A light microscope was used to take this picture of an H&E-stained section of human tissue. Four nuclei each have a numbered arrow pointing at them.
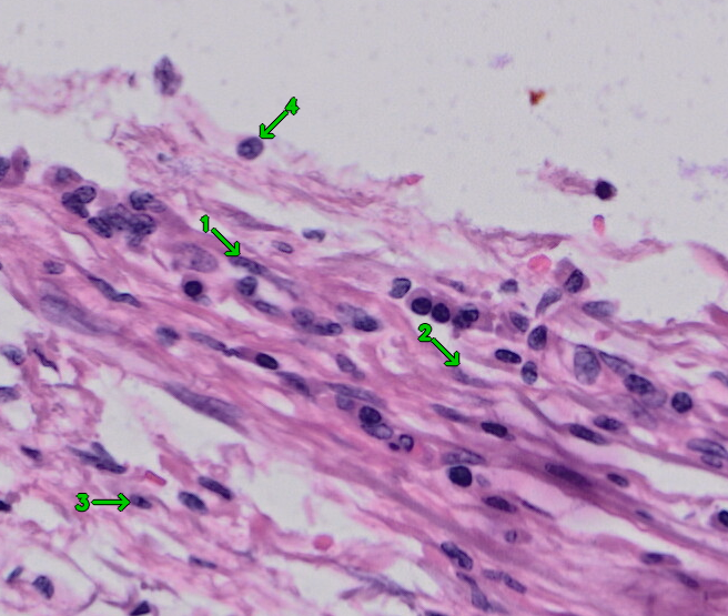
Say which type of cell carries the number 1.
endothelial cell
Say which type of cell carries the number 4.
lymphocyte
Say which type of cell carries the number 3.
macrophage or monocyte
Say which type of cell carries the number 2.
fibroblast or myofibroblast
